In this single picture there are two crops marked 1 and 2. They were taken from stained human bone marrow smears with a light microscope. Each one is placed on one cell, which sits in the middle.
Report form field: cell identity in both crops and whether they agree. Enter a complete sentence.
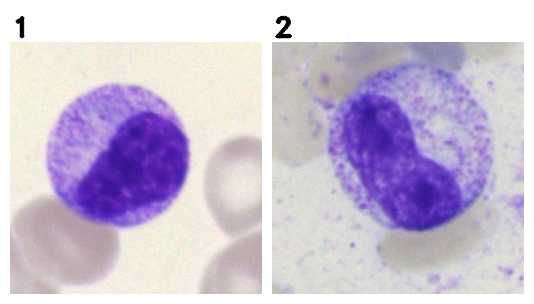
Yes, in the case of both crops, the central cells are myelocytes.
